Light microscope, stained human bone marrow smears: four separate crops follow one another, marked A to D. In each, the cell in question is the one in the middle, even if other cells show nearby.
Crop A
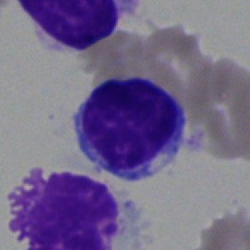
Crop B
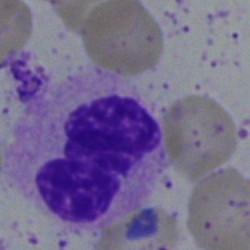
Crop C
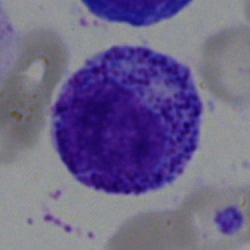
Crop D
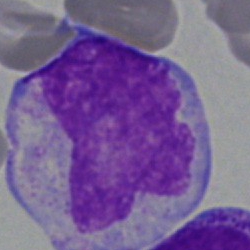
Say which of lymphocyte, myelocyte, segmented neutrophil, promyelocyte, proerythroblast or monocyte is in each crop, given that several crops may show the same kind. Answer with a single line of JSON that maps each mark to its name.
{"A": "lymphocyte", "B": "segmented neutrophil", "C": "promyelocyte", "D": "monocyte"}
